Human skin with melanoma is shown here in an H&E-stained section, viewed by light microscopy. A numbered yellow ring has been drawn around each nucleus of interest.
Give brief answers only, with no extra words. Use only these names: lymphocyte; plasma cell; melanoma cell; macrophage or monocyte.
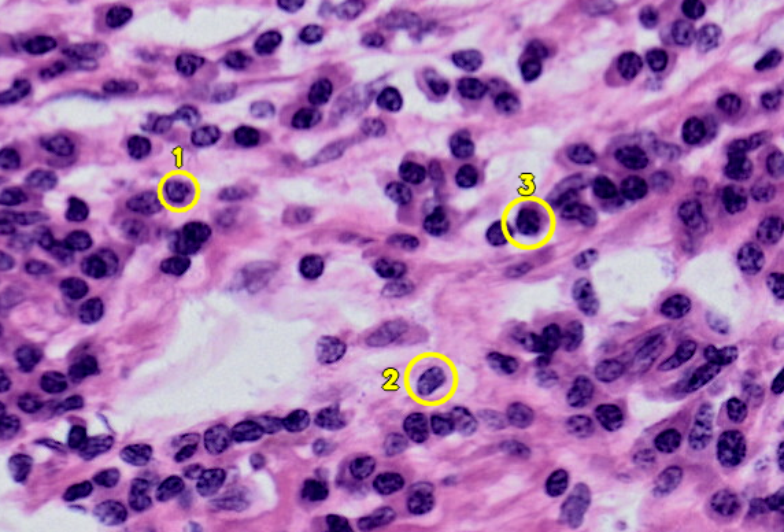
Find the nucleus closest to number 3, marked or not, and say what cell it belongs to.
lymphocyte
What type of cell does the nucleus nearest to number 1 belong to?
plasma cell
